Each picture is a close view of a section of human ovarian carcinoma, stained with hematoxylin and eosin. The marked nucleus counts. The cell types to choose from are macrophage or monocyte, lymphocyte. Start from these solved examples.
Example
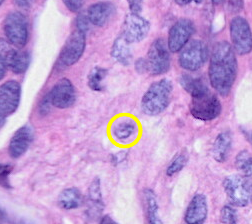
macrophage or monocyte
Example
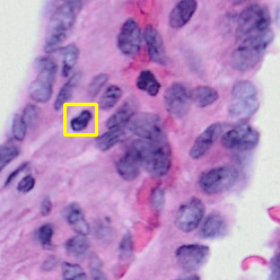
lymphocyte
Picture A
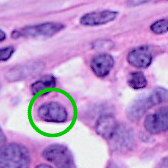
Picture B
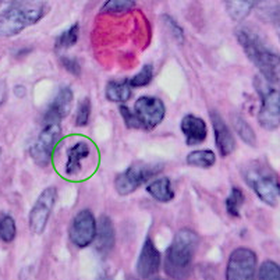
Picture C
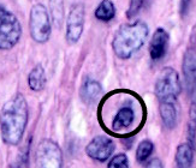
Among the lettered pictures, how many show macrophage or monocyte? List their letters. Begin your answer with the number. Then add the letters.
1: A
